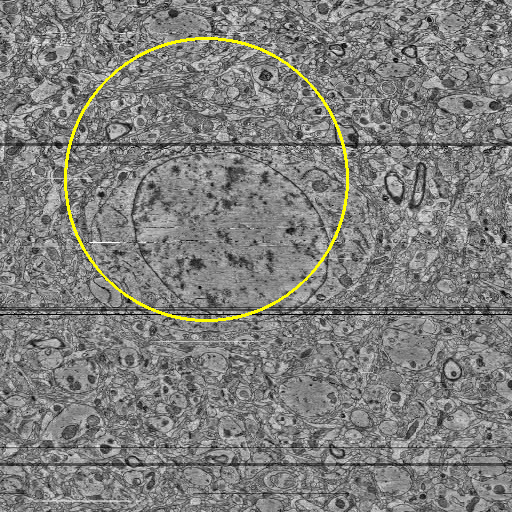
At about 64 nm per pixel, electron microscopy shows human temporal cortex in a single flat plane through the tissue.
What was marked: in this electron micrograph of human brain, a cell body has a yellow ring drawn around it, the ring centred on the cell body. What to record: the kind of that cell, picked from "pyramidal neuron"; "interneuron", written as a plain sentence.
The centred cell is a pyramidal neuron.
